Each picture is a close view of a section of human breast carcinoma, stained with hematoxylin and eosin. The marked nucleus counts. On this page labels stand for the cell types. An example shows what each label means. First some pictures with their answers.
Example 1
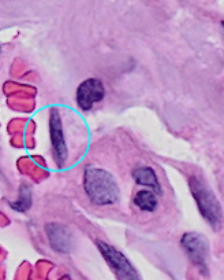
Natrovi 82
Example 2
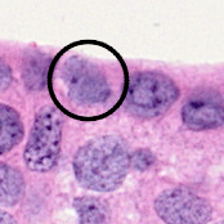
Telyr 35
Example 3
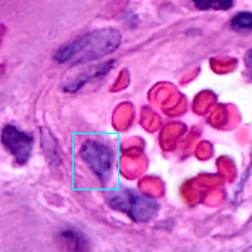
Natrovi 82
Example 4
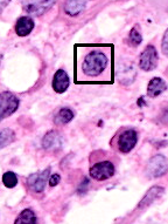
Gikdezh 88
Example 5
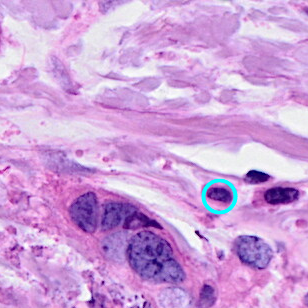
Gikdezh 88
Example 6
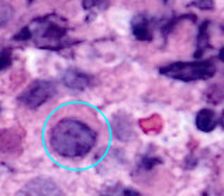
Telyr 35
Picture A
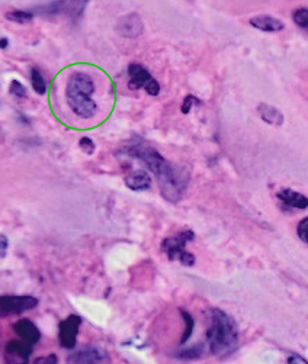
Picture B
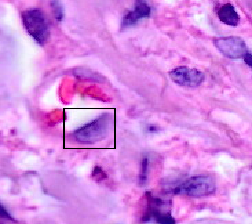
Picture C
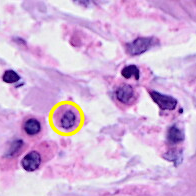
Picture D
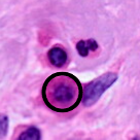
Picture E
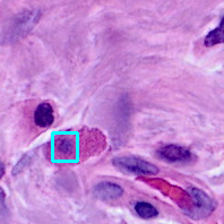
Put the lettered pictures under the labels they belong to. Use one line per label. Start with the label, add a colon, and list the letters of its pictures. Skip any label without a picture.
Natrovi 82: B
Gikdezh 88: A, C, D, E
